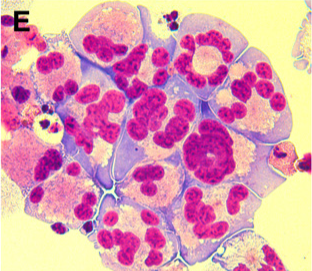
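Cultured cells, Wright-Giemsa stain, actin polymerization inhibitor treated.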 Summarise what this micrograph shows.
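These are large megakaryocytes crowded together, each far bigger than the few small cells at the edges of the field. Their cytoplasm is abundant, pale pink and finely granular, bounded by thin bluish-purple margins. Each holds a large deep magenta nucleus broken into several lobes, in some cells gathered into a ring or cluster, a sign of many sets of chromosomes. The small neighbouring cells have compact dark nuclei and little cytoplasm.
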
